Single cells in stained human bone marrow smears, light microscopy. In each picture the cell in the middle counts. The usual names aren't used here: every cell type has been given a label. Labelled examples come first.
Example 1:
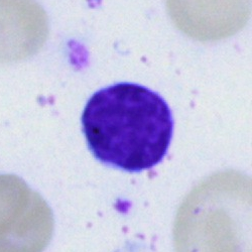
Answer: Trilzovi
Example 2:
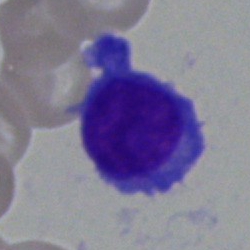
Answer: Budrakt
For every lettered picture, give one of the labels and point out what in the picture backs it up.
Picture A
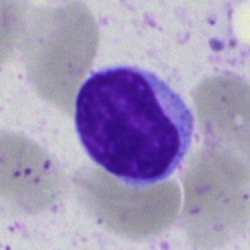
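Trilzovi. The cytoplasm forms only a thin rim around the nucleus.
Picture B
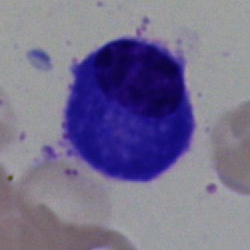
Budrakt. The cytoplasm is abundant and fills most of the lower part of the cell.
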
